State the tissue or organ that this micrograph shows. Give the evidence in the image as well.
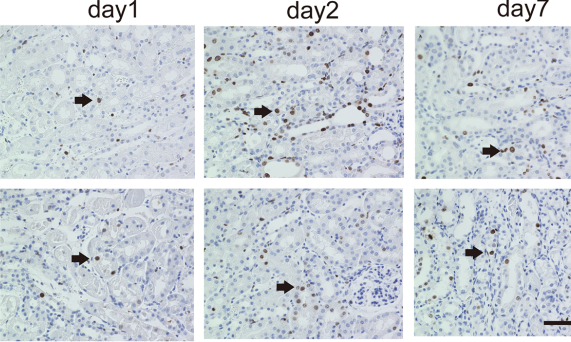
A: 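Renal tissues. Many round and oval tubular cross-sections lined by cuboidal epithelium. Tubules are packed closely with thin interstitium between them.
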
